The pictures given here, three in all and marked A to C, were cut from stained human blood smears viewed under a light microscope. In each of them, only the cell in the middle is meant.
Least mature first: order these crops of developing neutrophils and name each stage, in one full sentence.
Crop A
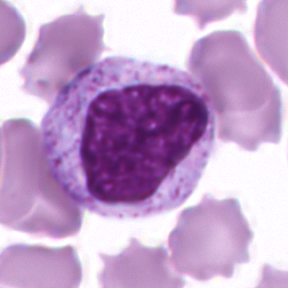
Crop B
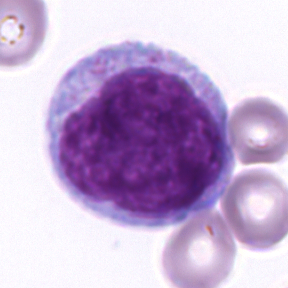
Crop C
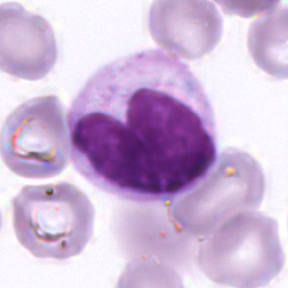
Along the maturation pathway, from earliest to latest, the order is crop B (a promyelocyte), crop A (a metamyelocyte) and crop C (a band neutrophil).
